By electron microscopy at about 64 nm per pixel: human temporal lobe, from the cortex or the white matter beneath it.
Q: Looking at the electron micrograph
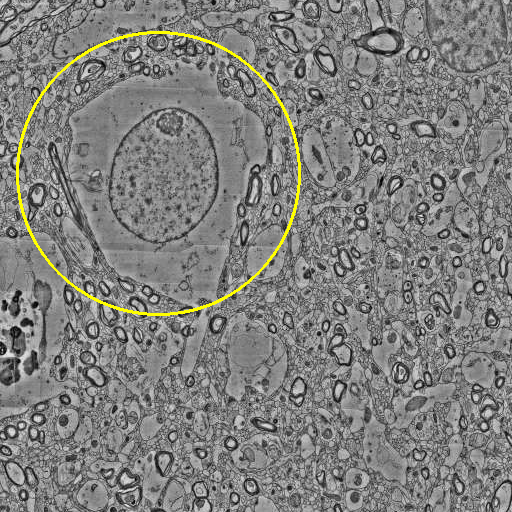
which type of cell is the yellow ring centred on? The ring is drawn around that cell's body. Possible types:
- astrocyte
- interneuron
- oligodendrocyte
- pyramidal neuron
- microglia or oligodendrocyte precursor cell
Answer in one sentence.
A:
The yellow ring is centred on an astrocyte.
